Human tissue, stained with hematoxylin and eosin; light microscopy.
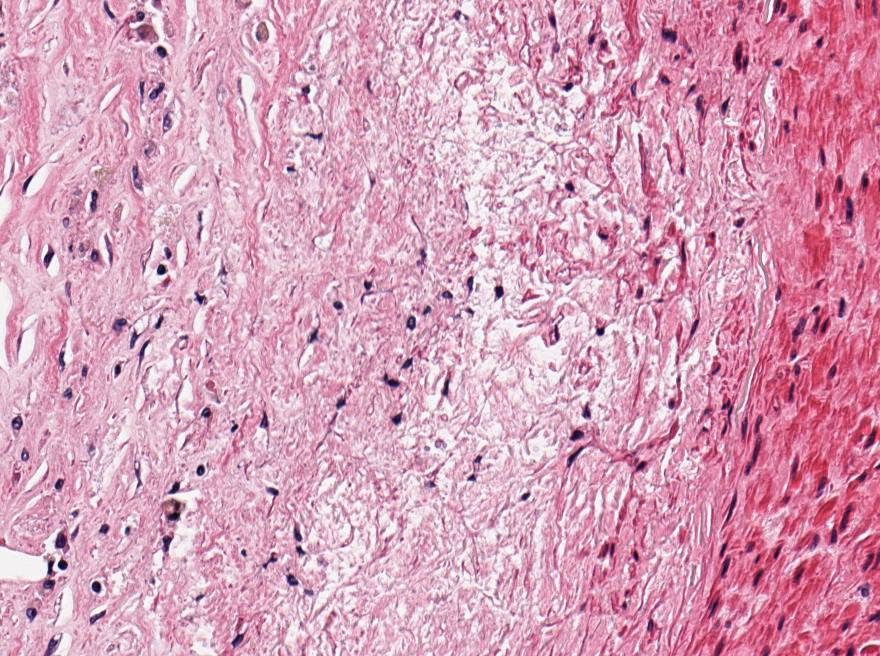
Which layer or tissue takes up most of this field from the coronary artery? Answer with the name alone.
tunica intima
